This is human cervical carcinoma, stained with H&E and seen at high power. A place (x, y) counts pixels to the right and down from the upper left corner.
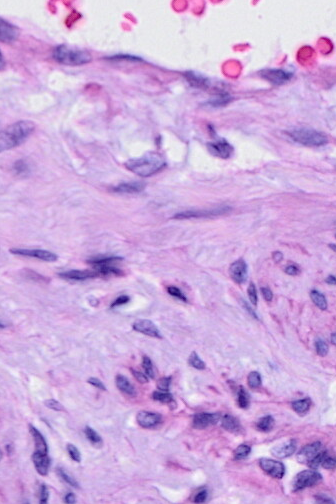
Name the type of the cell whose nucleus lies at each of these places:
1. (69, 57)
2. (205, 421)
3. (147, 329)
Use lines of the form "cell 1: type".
cell 1: endothelial cell
cell 2: endothelial cell
cell 3: fibroblast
